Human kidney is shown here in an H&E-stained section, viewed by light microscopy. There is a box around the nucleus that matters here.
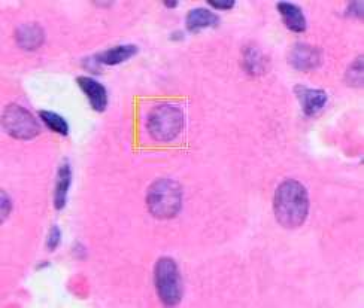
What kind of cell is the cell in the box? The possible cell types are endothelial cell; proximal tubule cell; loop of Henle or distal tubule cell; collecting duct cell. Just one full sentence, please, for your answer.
Placed in its cell category, the cell in the box is a proximal tubule cell.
